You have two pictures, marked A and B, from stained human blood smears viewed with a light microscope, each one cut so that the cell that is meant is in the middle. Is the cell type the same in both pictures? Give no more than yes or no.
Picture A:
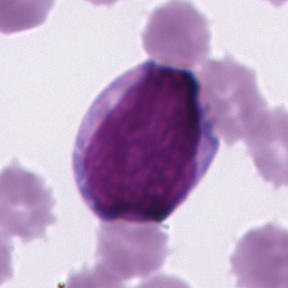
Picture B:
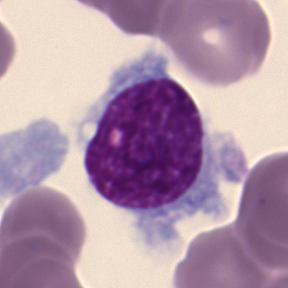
no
